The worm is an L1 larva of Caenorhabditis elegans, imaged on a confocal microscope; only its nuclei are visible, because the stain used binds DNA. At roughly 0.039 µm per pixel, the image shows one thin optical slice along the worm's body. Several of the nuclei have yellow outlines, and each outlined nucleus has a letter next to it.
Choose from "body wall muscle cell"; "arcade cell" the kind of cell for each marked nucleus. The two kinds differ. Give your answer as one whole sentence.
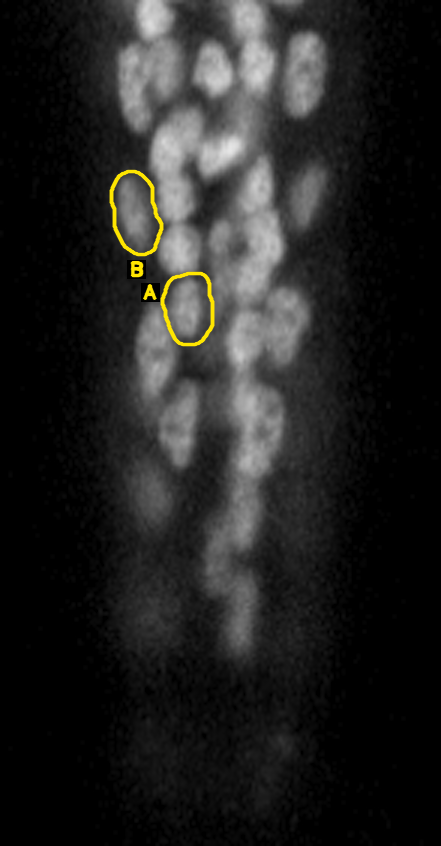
A is in an arcade cell and B is in a body wall muscle cell.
